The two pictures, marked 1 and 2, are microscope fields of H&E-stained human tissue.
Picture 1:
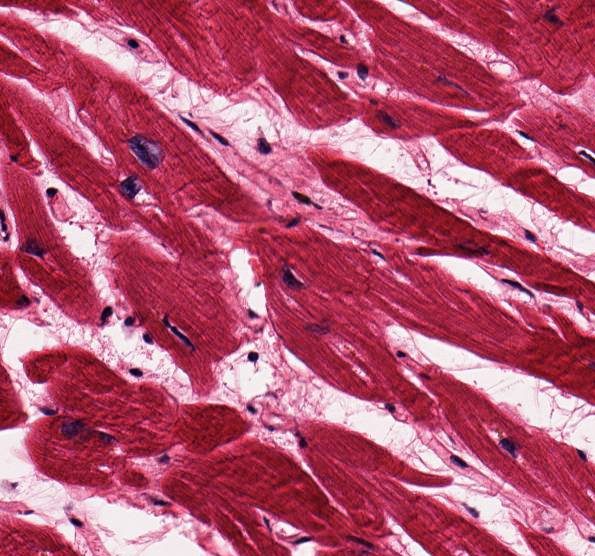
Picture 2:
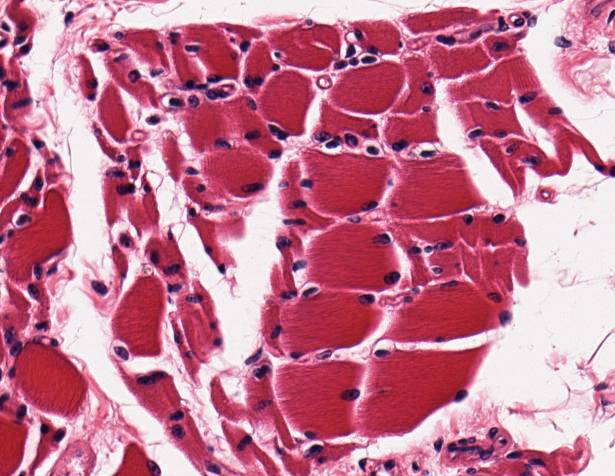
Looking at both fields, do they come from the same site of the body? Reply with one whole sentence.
No, picture 1 comes from the left ventricle of the heart and picture 2 comes from skeletal muscle.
